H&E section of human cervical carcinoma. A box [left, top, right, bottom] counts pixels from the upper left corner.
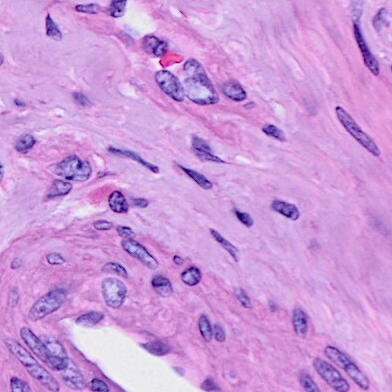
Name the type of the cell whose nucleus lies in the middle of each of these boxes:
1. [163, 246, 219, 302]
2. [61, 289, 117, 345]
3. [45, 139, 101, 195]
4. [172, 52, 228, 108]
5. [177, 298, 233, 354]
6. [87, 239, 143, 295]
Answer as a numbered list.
1. smooth muscle cell
2. endothelial cell
3. endothelial cell
4. endothelial cell
5. smooth muscle cell
6. smooth muscle cell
